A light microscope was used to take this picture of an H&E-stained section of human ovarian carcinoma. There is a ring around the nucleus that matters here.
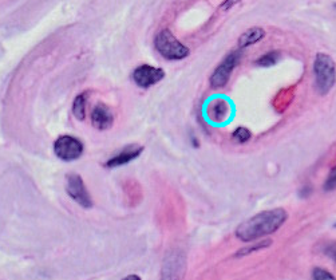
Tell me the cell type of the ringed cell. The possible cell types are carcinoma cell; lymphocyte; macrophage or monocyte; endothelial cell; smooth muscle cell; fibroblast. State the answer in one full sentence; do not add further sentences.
Within the stained tissue, the ringed cell is an endothelial cell.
